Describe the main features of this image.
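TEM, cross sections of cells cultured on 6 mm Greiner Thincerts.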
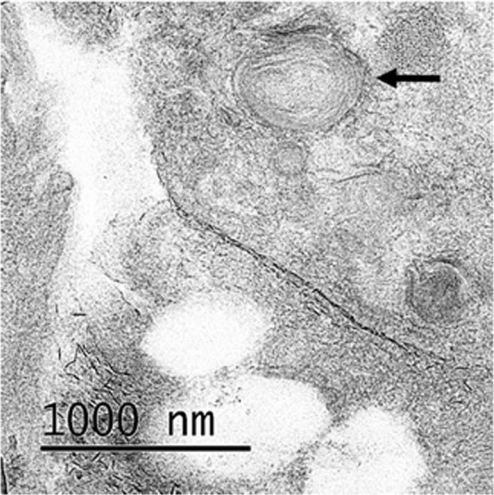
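An electron micrograph of cytoplasm in which a round body built of tightly stacked concentric membrane layers stands out near the top, like the rings of an onion. A thin dark line, a cell boundary, runs diagonally across the field, and pale, electron-lucent patches lie toward the lower left. A smaller dense round body lies to the lower right.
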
